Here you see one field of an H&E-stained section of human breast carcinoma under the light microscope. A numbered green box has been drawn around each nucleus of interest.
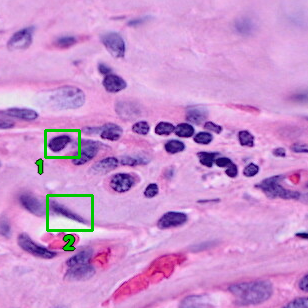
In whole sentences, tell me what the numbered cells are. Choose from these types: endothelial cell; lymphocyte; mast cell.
Cell 1 is a lymphocyte and cell 2 is an endothelial cell.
